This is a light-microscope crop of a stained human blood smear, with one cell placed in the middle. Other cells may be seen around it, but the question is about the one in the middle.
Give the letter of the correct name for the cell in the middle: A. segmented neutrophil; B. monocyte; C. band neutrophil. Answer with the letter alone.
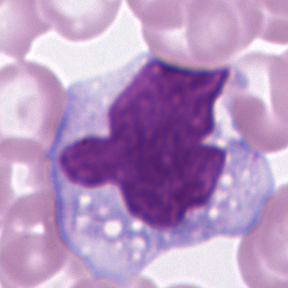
B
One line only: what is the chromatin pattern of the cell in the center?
The chromatin is delicate and fine, lacking coarse clumping entirely.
